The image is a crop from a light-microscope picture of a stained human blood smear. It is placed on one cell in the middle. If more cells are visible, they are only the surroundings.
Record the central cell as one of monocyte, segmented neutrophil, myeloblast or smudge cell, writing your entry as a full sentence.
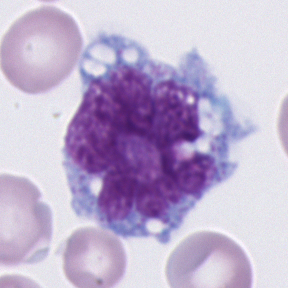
Positioned in the middle of the crop is a monocyte.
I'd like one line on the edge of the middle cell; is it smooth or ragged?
The perimeter of the cell is irregular, with ragged sections or outward projections.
